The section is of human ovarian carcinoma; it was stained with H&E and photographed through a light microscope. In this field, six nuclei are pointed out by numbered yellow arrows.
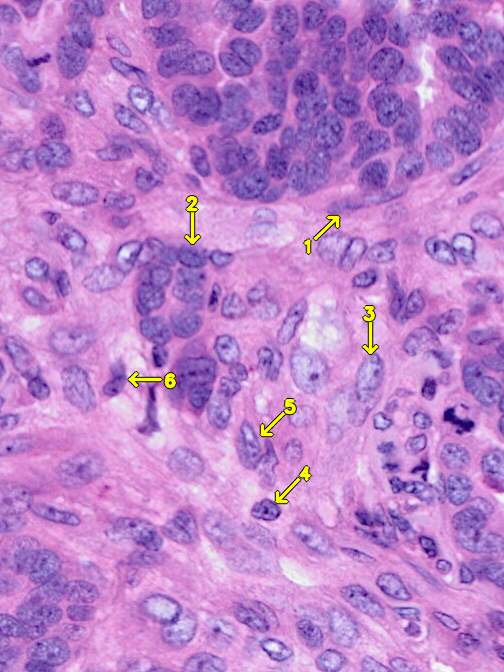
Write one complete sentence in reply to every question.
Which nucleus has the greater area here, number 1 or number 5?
Number 5 is larger; its area is about 2 times that of number 1.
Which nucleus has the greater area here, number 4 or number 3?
Number 3 is larger; its area is about 2 times that of number 4.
